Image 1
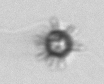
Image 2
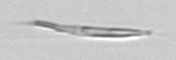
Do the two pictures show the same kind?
No: Rhabdosphaera, then Calciosolenia.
